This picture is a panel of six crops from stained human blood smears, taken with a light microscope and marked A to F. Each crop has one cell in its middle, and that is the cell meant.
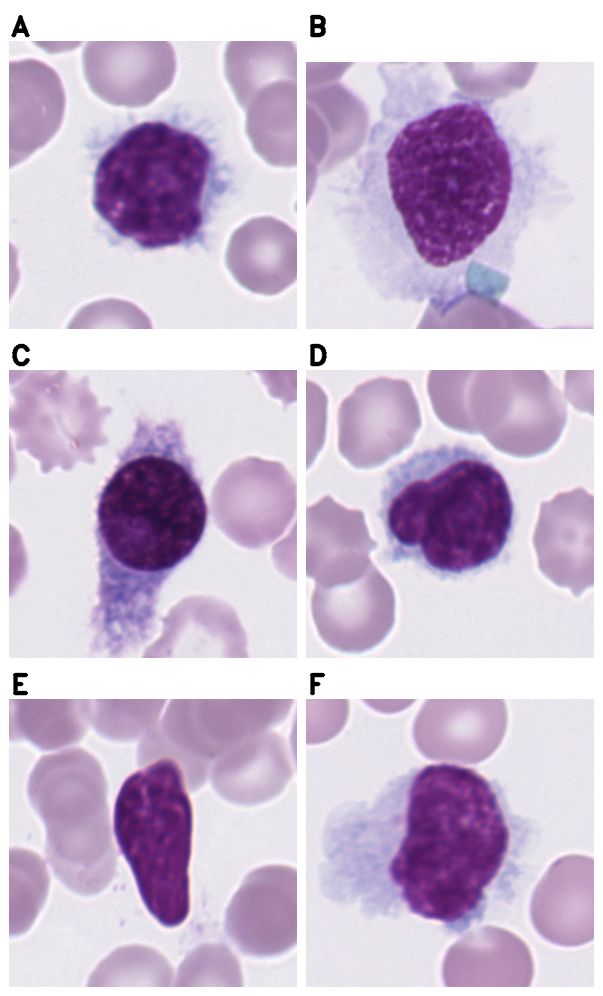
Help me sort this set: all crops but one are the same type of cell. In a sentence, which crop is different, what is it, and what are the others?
Crop E holds a smudge cell, unlike the remaining crops, all of which hold hairy cells.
